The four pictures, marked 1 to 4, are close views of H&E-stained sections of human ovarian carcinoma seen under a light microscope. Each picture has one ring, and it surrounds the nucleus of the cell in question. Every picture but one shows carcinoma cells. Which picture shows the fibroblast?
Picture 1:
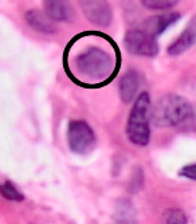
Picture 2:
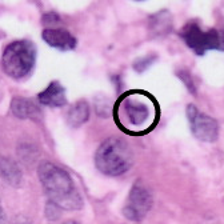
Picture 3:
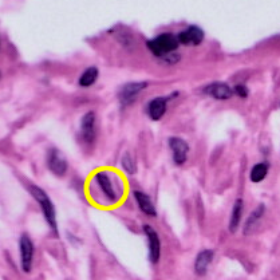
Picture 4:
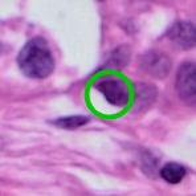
3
